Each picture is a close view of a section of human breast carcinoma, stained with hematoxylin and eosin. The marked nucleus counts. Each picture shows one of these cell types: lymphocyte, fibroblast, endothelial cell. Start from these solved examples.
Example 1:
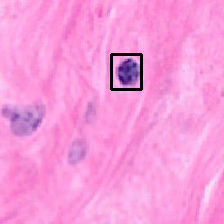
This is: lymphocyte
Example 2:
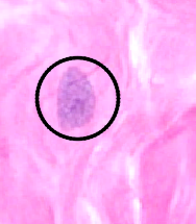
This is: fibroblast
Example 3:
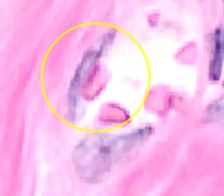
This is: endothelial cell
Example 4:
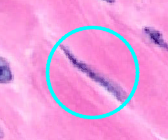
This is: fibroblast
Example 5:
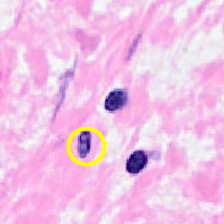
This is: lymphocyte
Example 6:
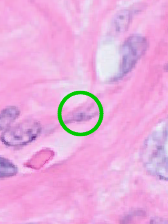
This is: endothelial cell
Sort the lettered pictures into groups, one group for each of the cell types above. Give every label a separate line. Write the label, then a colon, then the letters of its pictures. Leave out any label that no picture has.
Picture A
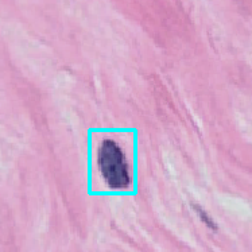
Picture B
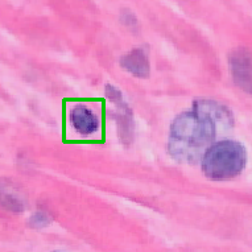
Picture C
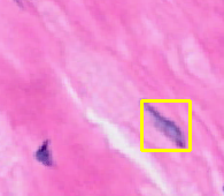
lymphocyte: A, B
fibroblast: C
